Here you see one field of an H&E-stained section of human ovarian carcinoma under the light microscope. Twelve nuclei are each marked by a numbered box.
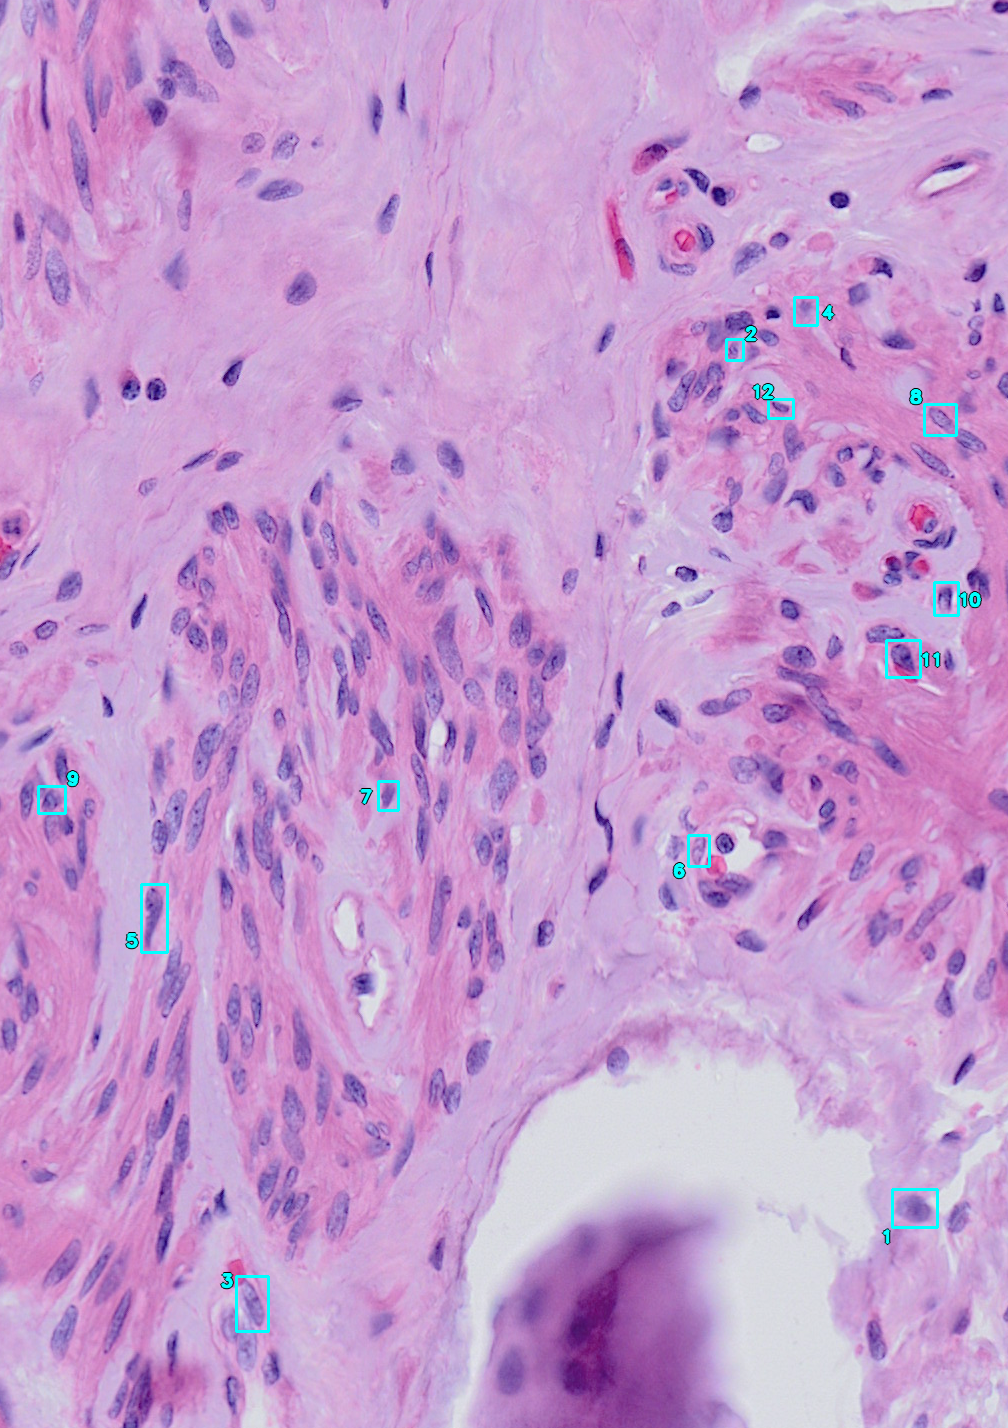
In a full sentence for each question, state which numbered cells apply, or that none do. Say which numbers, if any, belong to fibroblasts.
Only the cell with the number 1 is a fibroblast.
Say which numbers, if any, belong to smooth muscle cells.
Into the category of smooth muscle cells fall the cells numbered 2, 4, 5, 7, 8, 9 and 12.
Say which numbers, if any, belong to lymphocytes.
Of the numbered cells, zero are lymphocytes.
